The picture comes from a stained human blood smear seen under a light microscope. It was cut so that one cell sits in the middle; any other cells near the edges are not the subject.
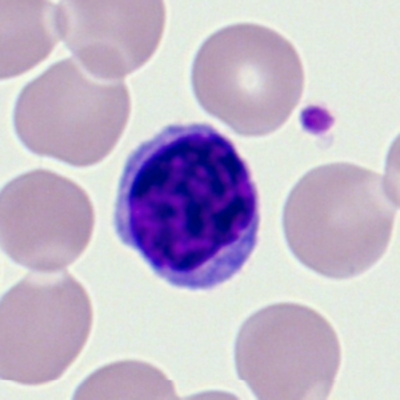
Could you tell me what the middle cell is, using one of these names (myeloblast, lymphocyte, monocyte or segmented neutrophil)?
lymphocyte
